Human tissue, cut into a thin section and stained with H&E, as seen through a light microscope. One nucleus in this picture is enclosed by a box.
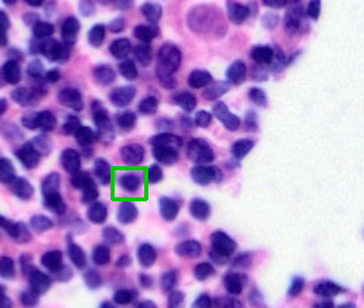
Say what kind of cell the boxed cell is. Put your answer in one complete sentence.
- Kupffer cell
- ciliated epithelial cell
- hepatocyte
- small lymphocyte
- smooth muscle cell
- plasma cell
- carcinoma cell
Within the stained tissue, the boxed cell is a small lymphocyte.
